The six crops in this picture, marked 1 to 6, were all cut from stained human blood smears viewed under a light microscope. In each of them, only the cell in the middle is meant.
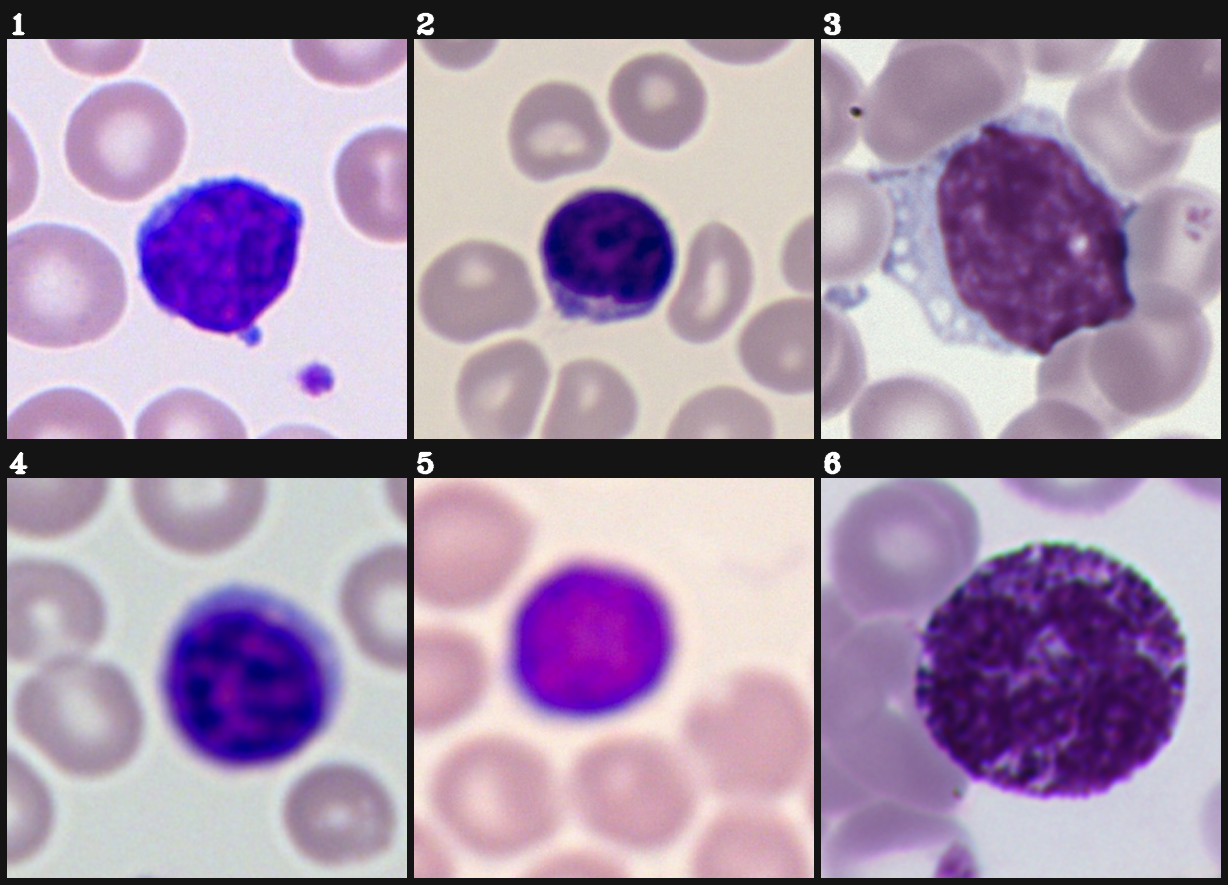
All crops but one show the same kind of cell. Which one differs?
6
